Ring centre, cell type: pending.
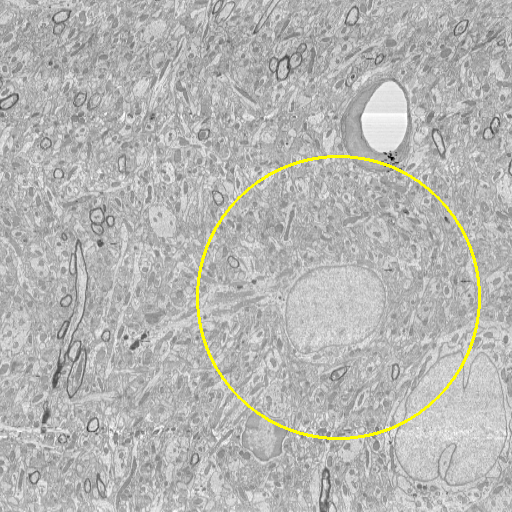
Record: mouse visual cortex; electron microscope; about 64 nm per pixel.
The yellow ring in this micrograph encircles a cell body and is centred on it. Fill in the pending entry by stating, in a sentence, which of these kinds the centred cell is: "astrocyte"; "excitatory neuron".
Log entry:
The centred cell is recorded as an astrocyte.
